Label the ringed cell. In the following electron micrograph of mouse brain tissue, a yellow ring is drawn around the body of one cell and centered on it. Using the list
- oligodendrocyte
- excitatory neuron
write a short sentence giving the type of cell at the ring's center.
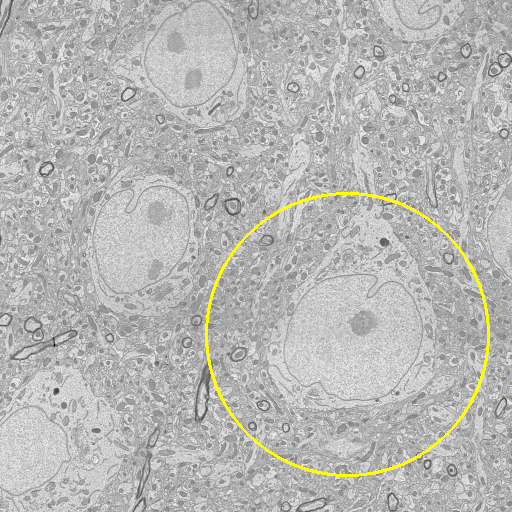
The cell body at the ring's center is that of an excitatory neuron.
